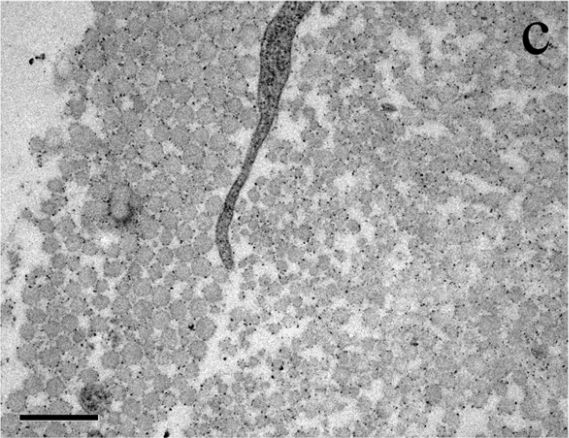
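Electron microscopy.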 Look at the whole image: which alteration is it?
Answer: Mild randomness in orientation and variability of the cross-sections of the collagen fibrils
